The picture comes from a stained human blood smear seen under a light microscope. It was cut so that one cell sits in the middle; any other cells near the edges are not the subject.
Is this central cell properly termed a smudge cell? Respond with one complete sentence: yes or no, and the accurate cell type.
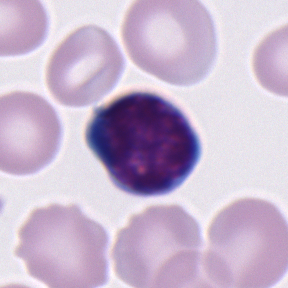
No, the cell under consideration is a typical lymphocyte instead of a smudge cell.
